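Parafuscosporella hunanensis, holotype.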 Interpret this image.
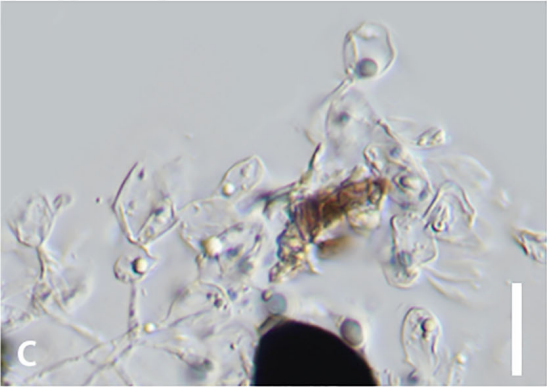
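Micronematous conidiophores of a fungus with their conidiogenous cells. Small round refractive droplets lie in and beside the cells. A dark opaque conidium shows at the lower edge, and a brownish fragment lies in the middle.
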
